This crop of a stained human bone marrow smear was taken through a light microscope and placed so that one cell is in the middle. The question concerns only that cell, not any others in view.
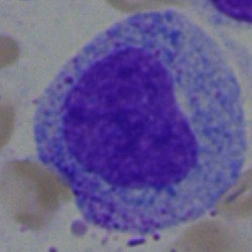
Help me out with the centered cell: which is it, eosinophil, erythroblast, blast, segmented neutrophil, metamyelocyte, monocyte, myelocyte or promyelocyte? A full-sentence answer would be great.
In the middle of this smear crop is a promyelocyte.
